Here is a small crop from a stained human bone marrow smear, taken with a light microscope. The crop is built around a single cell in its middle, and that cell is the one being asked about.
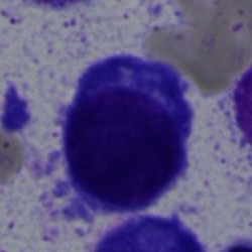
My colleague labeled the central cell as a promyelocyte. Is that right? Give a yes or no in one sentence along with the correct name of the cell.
No, the cell in the centre of the crop is a plasma cell as opposed to a promyelocyte.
